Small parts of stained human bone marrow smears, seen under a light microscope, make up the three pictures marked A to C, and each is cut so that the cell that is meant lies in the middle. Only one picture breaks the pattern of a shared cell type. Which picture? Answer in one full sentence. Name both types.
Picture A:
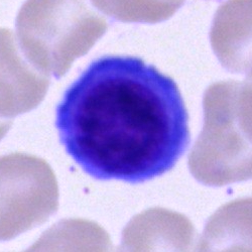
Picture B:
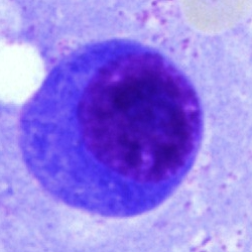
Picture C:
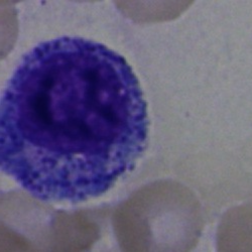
Picture C differs, because its cell is a promyelocyte and the rest are plasma cells.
